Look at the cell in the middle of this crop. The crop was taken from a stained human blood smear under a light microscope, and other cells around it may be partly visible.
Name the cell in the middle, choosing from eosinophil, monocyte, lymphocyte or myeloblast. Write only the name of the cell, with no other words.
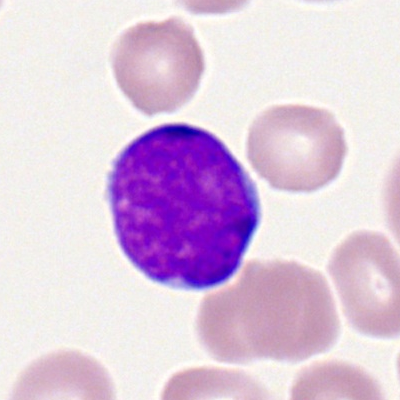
myeloblast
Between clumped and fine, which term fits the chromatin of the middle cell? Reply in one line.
The chromatin pattern here is coarse and clumped.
